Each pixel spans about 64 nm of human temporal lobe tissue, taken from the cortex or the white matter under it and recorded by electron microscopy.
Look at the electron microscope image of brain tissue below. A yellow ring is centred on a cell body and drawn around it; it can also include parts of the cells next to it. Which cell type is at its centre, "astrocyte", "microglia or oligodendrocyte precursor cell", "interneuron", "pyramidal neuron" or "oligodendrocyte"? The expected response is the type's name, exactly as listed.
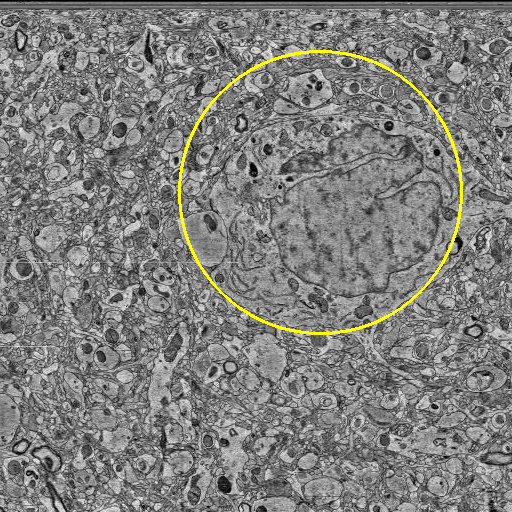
interneuron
